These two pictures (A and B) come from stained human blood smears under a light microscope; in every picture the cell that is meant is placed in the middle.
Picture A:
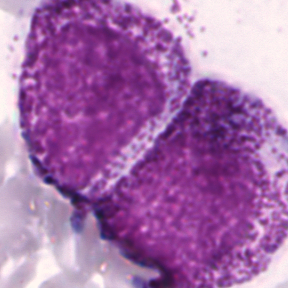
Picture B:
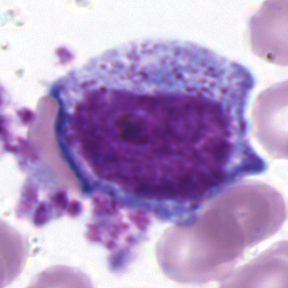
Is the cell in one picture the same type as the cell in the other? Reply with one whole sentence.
Yes; the cells in both pictures are promyelocytes.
